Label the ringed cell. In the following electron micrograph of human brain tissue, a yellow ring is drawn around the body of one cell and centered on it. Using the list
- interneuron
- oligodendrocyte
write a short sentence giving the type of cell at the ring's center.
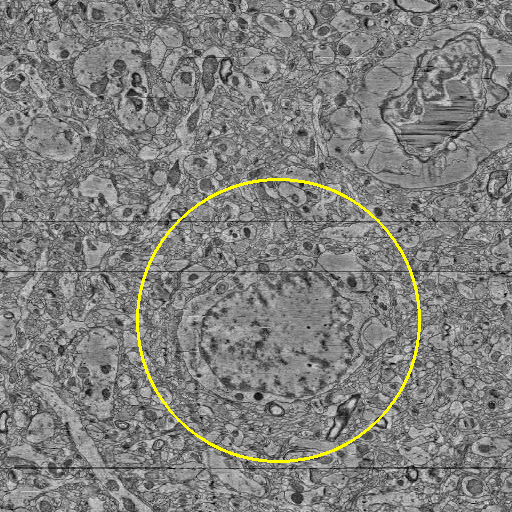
The cell body at the ring's center is that of an interneuron.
